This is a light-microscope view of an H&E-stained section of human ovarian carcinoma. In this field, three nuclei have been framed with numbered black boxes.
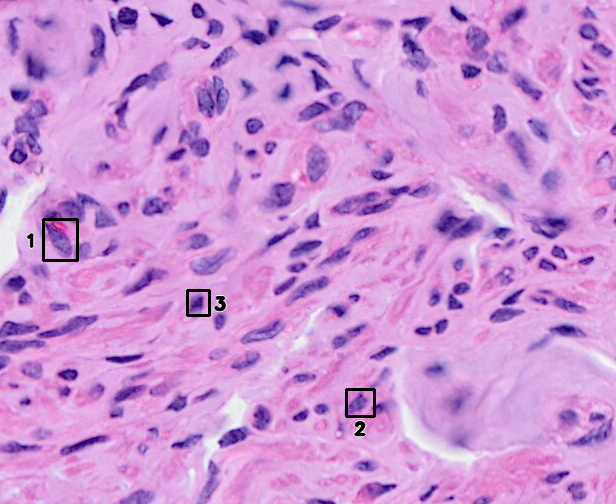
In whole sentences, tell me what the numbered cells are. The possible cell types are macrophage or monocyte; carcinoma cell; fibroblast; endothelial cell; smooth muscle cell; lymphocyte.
Cell 1 is an endothelial cell, cell 2 is a smooth muscle cell and cell 3 is a smooth muscle cell.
